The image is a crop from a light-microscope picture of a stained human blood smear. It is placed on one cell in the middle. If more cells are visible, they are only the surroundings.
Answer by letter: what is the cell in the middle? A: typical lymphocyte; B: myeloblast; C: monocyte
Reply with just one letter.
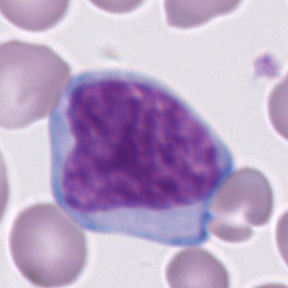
B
